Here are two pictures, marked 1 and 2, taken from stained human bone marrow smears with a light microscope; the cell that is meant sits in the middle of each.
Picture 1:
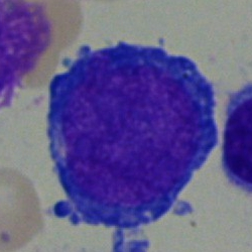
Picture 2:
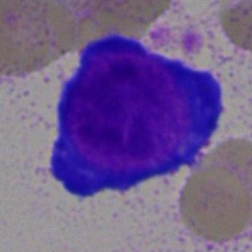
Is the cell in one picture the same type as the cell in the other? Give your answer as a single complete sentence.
Yes, they are the same type: both are proerythroblasts.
